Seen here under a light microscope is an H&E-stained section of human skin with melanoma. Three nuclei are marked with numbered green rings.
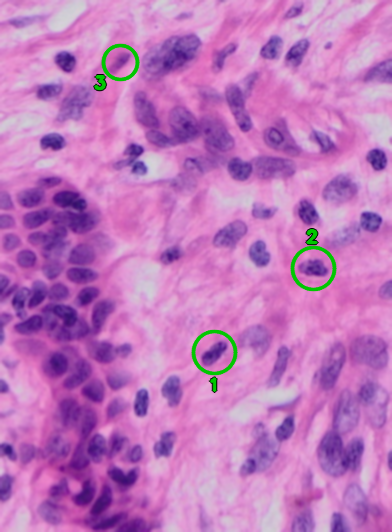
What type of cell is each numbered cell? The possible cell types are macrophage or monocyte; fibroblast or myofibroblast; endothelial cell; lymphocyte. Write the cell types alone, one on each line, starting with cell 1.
lymphocyte
lymphocyte
macrophage or monocyte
